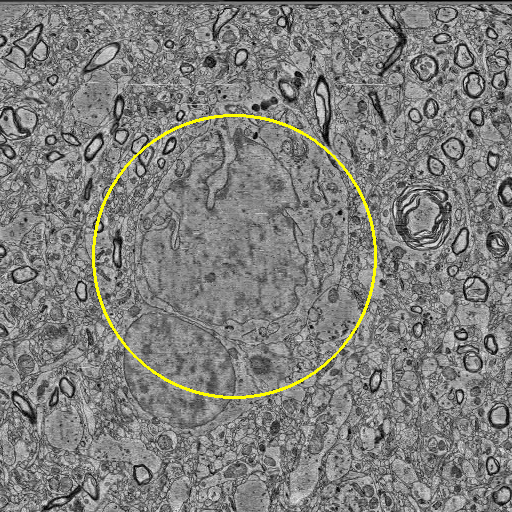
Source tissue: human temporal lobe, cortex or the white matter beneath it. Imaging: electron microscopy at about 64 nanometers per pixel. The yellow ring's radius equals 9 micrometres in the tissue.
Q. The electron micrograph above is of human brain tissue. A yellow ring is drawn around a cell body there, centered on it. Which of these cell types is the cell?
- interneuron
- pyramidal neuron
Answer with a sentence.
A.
The cell under the ring's center is an interneuron.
